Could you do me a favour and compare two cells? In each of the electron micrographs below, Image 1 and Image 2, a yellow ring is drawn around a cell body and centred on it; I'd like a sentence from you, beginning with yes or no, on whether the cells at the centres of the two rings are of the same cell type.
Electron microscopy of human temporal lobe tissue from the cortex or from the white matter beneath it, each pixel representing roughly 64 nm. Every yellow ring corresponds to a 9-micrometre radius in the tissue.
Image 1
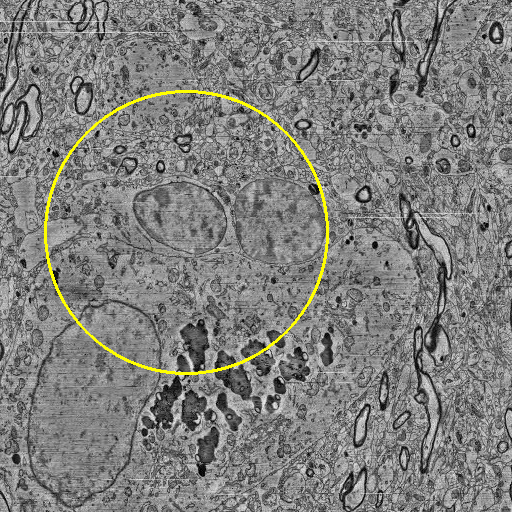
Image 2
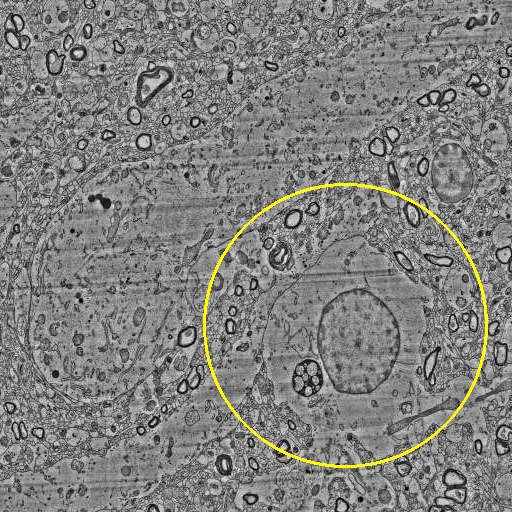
No, the two cells are of two cell types.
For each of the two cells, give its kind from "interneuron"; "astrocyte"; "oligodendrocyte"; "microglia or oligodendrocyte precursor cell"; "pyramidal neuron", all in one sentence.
The first picture has a microglial cell or oligodendrocyte precursor cell in its ring, the second has an astrocyte.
